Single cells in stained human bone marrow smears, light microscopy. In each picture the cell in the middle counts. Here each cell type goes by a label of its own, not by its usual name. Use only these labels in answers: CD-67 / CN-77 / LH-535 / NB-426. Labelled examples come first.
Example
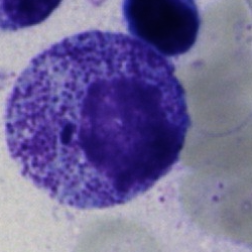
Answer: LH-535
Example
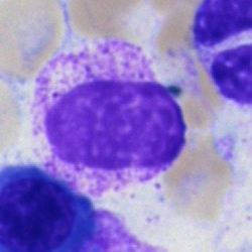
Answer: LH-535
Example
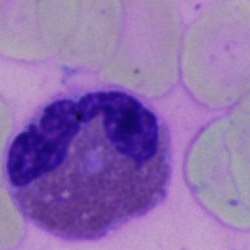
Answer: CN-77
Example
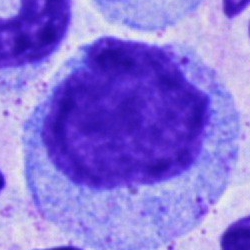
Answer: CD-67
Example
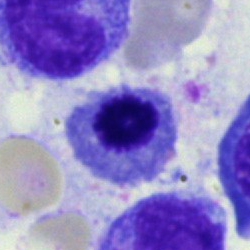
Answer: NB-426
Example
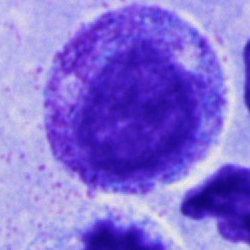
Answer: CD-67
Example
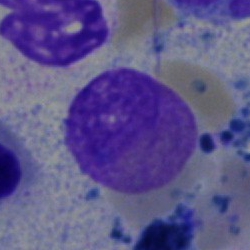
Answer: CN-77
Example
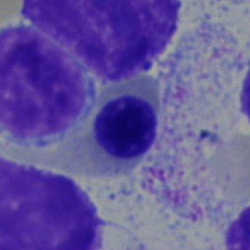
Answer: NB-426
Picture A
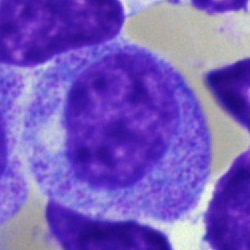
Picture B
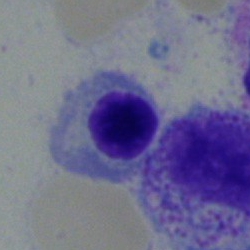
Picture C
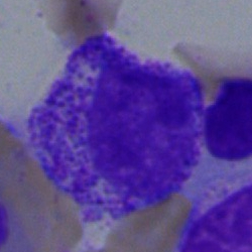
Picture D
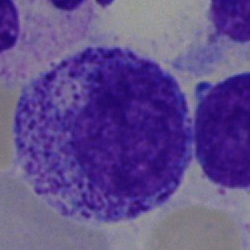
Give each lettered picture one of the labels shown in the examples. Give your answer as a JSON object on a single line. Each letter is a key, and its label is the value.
{"A": "CD-67", "B": "NB-426", "C": "LH-535", "D": "LH-535"}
